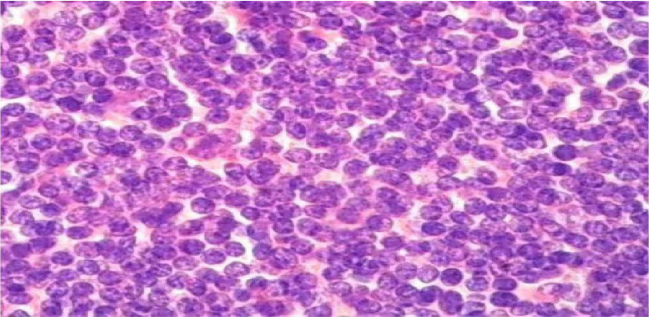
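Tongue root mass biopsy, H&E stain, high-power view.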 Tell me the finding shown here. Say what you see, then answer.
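Nuclei occupy almost the whole of each cell. Only a thin rim of pale cytoplasm is visible around the nuclei.
Answer: scant cytoplasm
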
